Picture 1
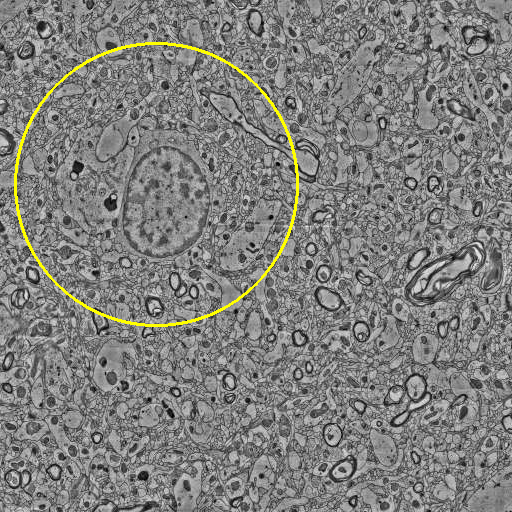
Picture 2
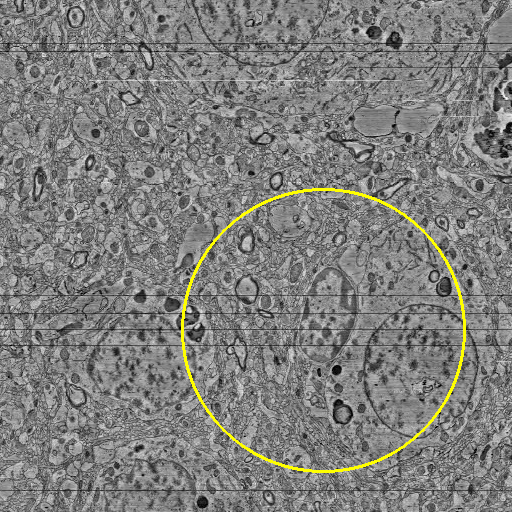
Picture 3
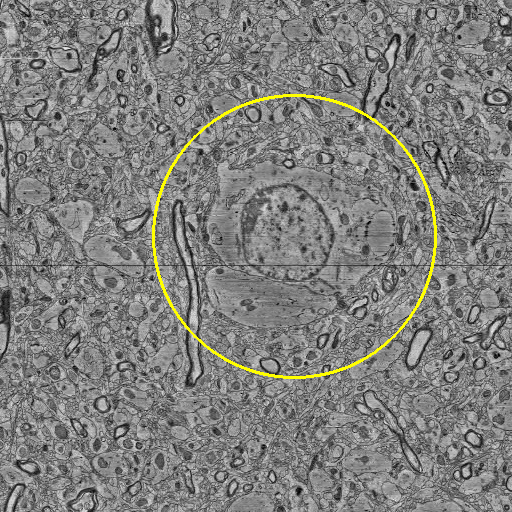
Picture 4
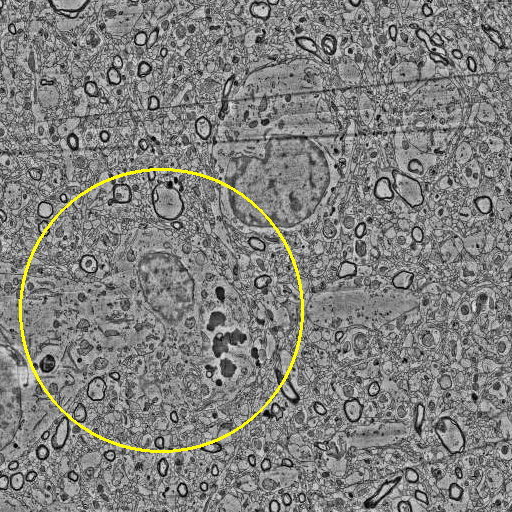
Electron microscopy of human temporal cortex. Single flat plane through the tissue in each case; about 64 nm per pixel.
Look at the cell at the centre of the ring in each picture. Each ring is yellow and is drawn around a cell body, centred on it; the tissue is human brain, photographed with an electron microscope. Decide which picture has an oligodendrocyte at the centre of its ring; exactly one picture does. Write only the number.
1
